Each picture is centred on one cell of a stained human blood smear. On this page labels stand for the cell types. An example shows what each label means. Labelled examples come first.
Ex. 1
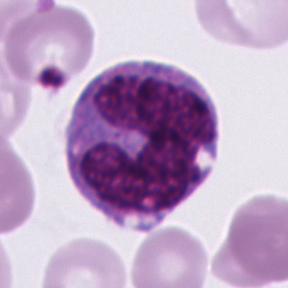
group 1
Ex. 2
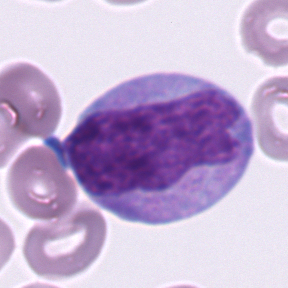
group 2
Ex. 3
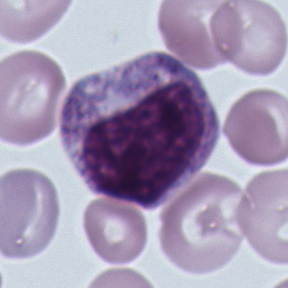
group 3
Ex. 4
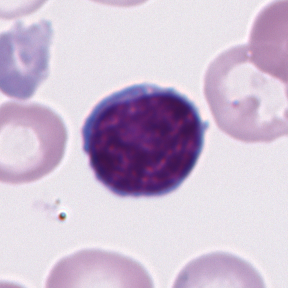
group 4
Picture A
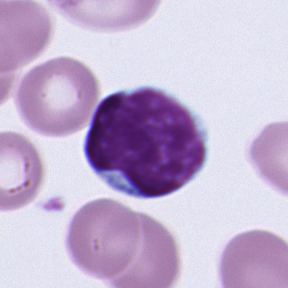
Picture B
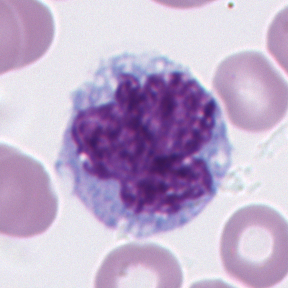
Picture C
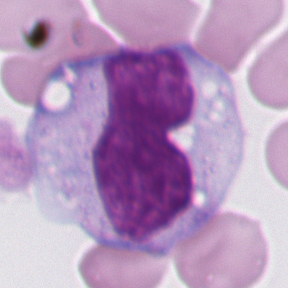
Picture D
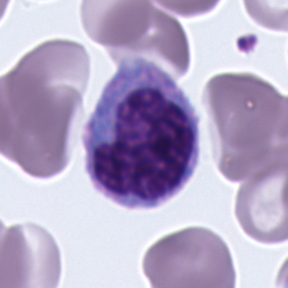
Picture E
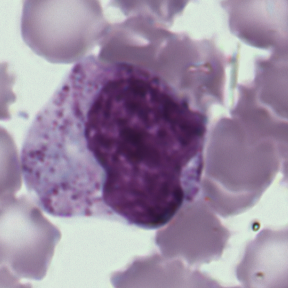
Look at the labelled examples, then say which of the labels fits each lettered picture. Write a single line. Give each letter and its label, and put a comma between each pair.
A group 4, B group 1, C group 1, D group 1, E group 3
